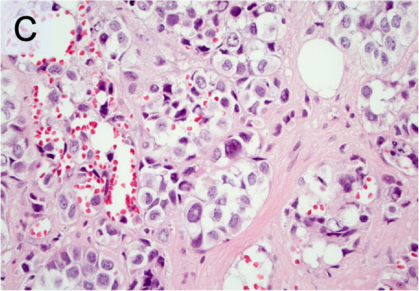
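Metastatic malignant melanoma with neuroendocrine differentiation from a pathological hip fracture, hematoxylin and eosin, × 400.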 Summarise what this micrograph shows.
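The section shows a tumor whose cells are arranged in rounded nests separated by thin bands of pink fibrous stroma. The tumor cells are large and polygonal, with clear to pale pink cytoplasm and distinct cell borders. Small blood vessels with red blood cells run between and within the nests. Some clear spaces resembling fat vacuoles lie among the nests.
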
